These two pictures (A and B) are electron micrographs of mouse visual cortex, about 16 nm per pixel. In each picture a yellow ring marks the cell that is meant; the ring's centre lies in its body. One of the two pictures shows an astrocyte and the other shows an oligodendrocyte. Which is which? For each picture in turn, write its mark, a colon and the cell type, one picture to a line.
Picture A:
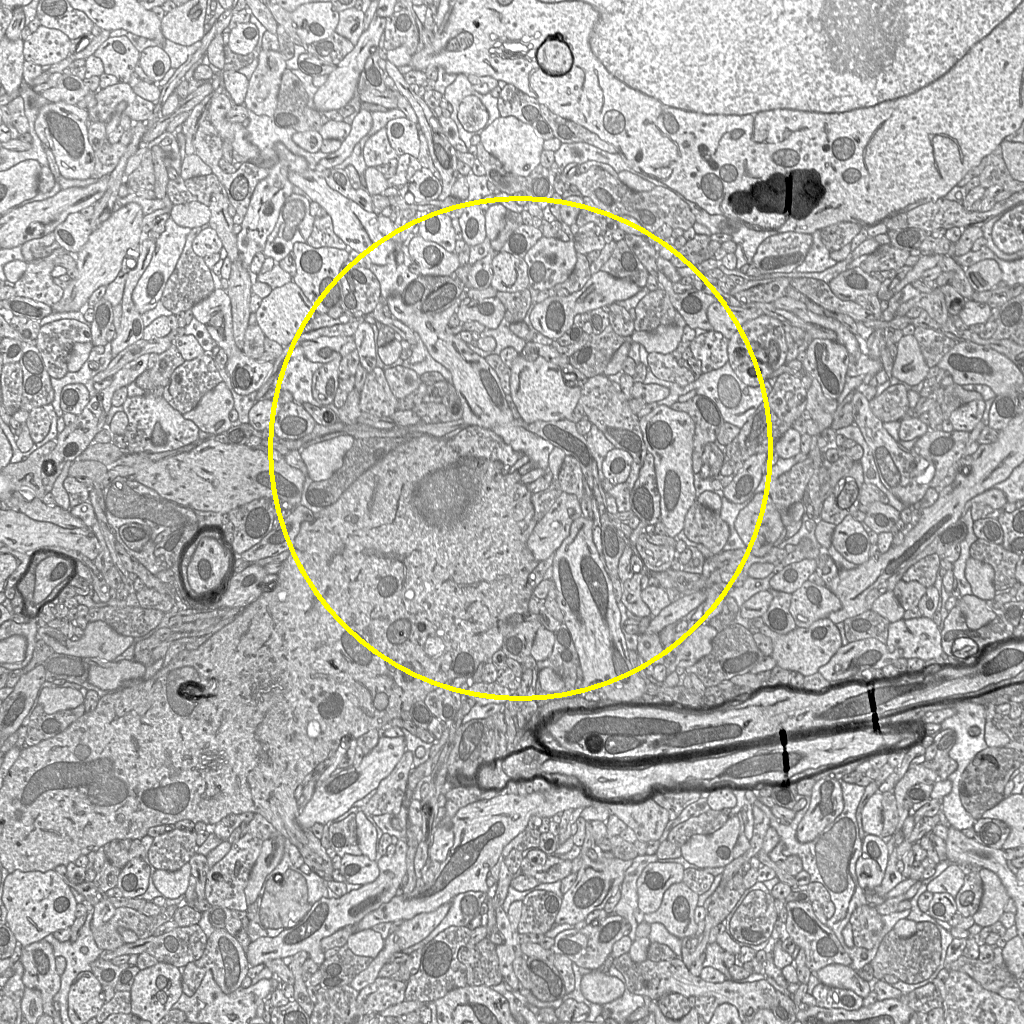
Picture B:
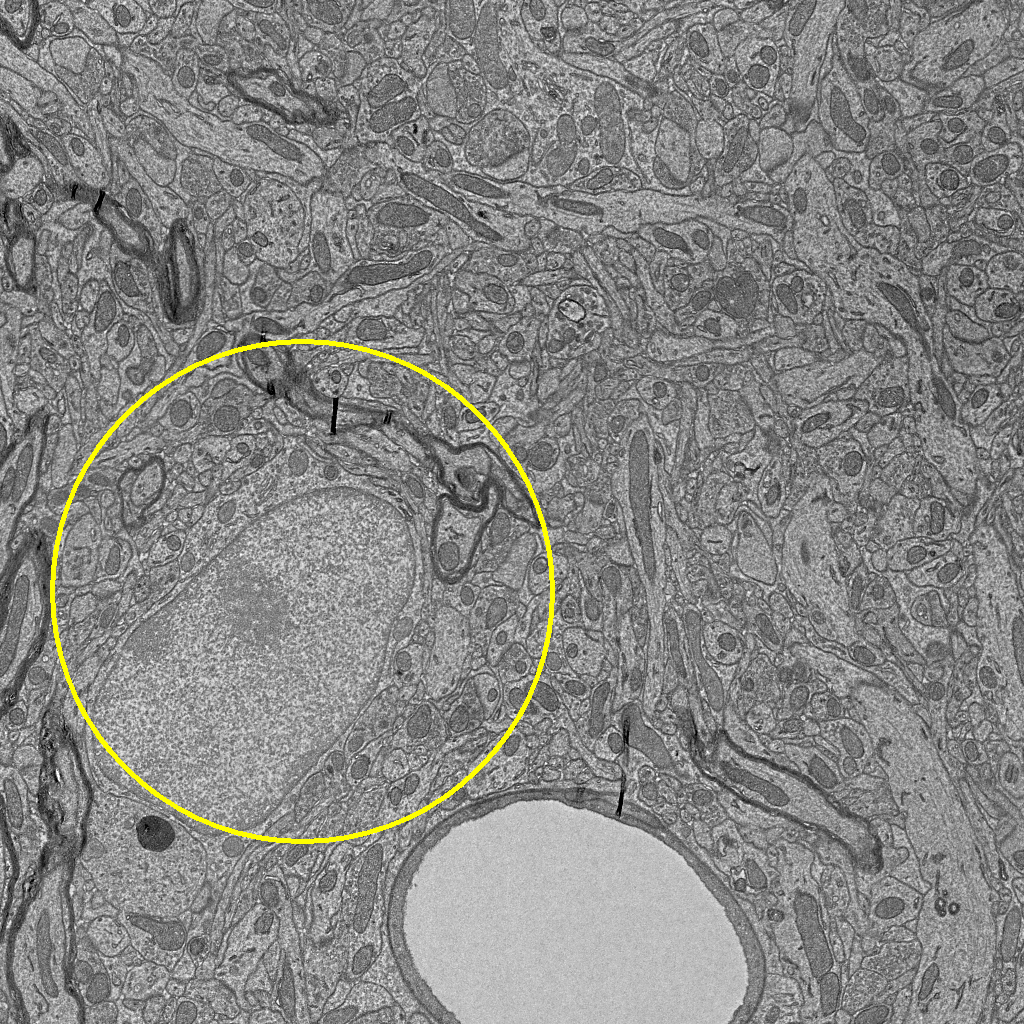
A: oligodendrocyte
B: astrocyte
